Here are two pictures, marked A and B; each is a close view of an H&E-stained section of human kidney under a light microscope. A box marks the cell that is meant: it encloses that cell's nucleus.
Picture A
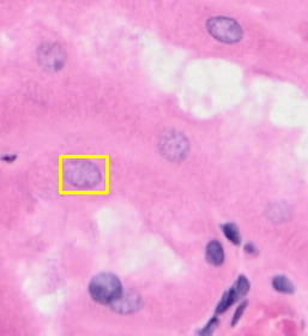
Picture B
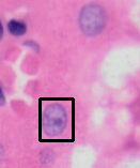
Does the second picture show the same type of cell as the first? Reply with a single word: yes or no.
yes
